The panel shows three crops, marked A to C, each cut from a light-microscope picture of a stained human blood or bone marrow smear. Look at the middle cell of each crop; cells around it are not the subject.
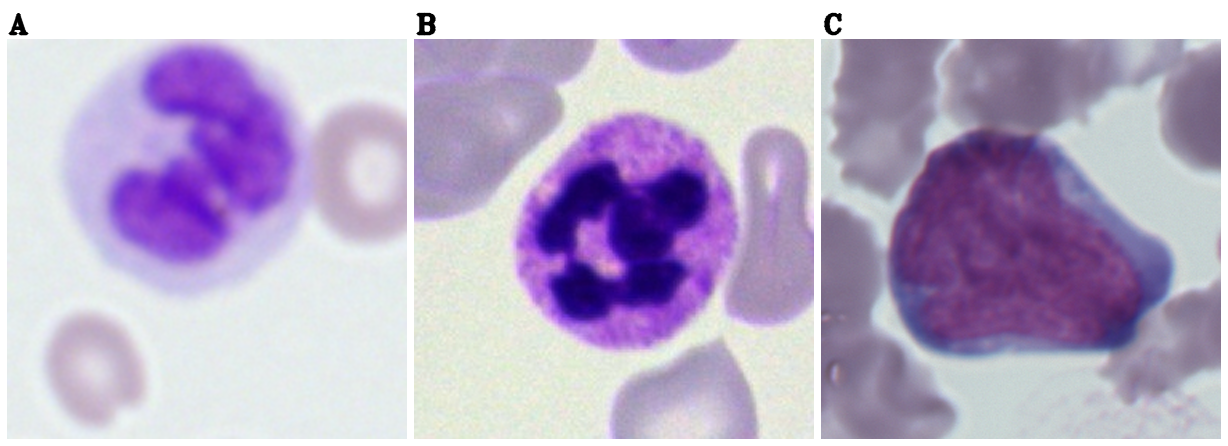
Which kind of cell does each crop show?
A: monocyte
B: neutrophil
C: blast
